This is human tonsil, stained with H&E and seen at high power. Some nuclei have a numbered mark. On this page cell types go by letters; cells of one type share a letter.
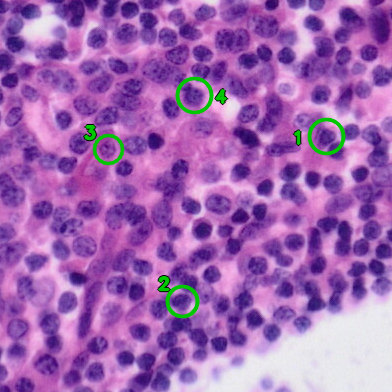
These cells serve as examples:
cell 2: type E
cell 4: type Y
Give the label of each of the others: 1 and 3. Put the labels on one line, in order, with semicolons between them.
type Y; type Y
